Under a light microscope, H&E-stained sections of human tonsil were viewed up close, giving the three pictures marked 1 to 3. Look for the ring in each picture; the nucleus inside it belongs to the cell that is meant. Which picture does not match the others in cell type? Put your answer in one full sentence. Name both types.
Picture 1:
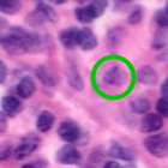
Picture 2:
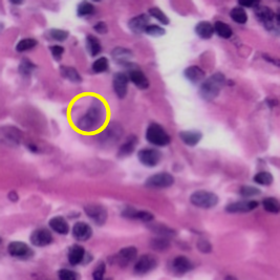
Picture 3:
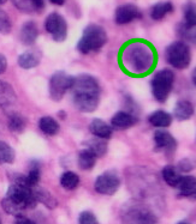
The different one is picture 3; it shows a proliferating B cell, whereas all the others show endothelial cells.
